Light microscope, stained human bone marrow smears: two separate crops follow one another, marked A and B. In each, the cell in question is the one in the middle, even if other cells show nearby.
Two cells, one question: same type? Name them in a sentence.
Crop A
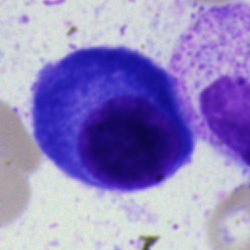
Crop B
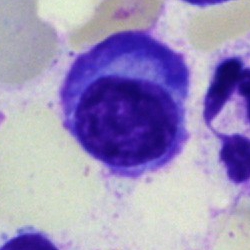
Yes, the reply for both crops is plasma cells.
